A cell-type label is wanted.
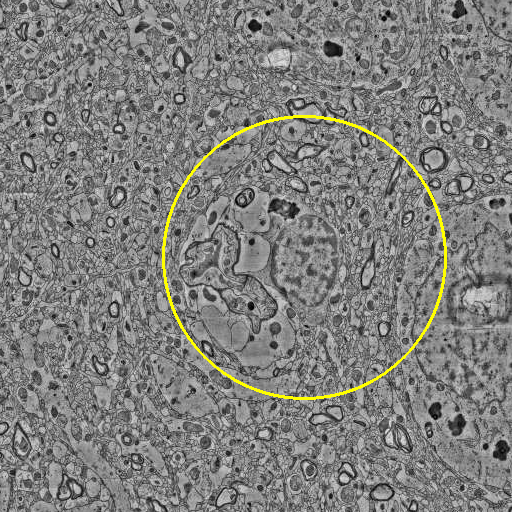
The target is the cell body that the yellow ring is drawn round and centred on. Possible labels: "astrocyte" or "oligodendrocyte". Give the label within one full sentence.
Of the labels offered, the cell in the middle of the yellow ring is an oligodendrocyte.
